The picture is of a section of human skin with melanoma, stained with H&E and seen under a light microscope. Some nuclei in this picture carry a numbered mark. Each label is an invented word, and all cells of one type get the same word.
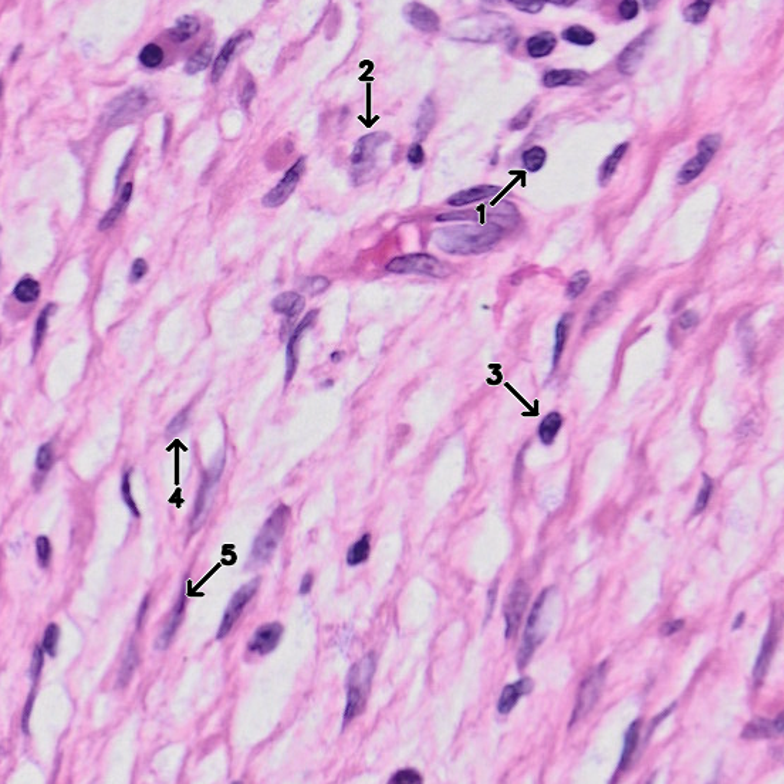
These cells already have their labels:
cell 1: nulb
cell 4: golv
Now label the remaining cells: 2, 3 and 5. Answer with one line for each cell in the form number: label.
2: golv
3: nulb
5: golv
